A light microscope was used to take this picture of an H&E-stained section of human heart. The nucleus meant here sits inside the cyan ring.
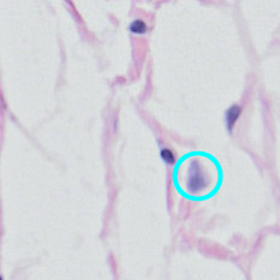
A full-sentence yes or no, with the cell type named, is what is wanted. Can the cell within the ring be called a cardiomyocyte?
No, far from being a cardiomyocyte, the cell within the ring is a fibroblast.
